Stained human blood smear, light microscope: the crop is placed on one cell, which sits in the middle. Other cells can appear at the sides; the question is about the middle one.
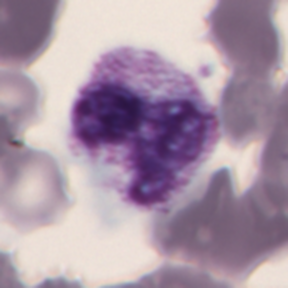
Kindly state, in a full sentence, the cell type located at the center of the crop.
Looking at the middle of the crop, the cell there is a segmented neutrophil.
